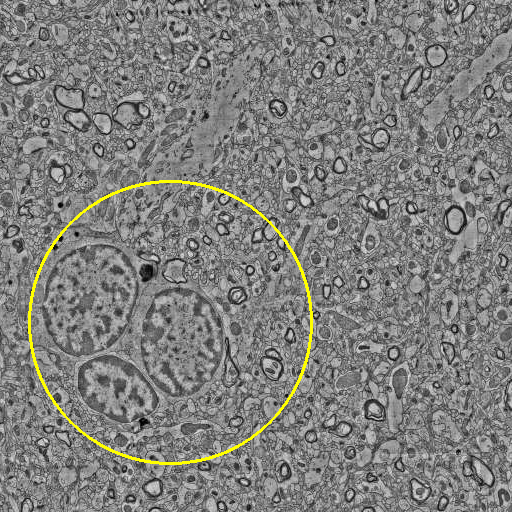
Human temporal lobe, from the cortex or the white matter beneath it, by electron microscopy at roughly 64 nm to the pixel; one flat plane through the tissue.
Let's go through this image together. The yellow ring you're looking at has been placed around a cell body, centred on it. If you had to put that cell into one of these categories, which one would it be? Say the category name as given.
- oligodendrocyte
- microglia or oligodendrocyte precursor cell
oligodendrocyte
